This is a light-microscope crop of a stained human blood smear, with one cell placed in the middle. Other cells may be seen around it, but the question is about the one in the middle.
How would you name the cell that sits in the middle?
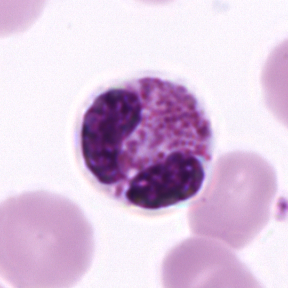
eosinophil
